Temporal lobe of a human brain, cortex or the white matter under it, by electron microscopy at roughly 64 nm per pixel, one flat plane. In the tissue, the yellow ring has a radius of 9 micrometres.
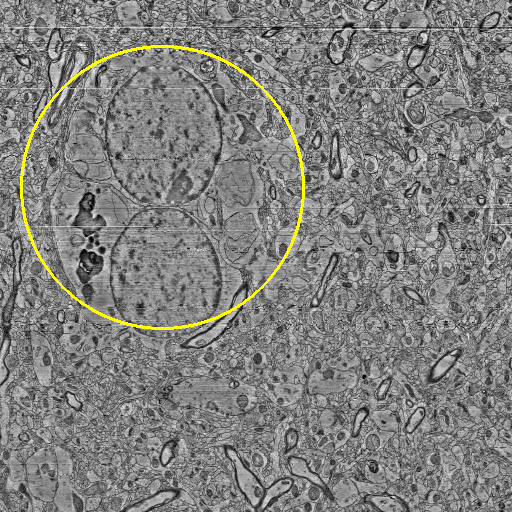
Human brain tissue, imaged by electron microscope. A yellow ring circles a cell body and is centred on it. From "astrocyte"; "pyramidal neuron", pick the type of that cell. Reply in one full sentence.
The cell body at the centre of the yellow ring belongs to an astrocyte.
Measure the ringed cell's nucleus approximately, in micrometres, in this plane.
Approximately 10 by 8 micrometers in this plane.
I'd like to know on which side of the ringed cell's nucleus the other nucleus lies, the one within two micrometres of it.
That other nucleus appears below it.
